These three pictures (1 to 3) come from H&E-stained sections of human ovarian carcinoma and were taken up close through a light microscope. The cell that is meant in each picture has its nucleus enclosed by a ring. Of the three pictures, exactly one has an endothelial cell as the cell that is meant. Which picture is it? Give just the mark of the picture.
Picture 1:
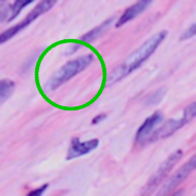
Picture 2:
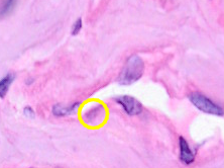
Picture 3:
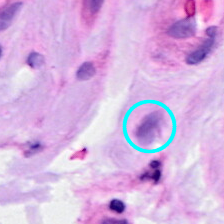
2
